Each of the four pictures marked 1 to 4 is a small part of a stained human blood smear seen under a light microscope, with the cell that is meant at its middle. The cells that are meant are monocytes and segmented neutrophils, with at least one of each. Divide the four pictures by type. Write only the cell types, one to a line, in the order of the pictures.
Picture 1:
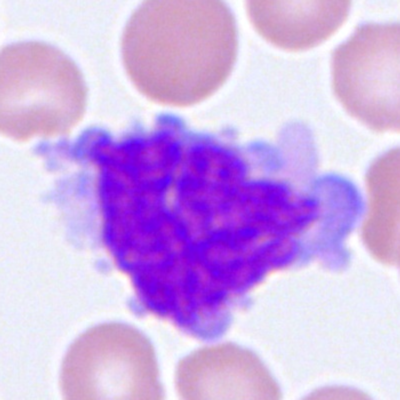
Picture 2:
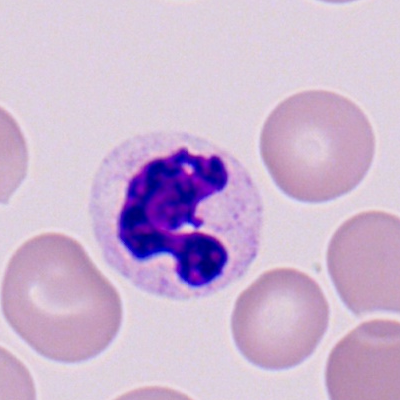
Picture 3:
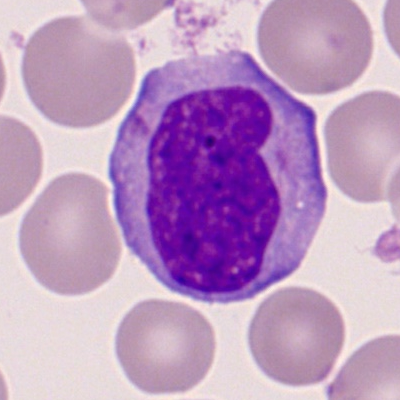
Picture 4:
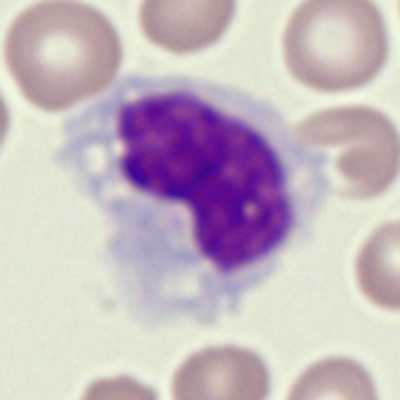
monocyte
segmented neutrophil
monocyte
monocyte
